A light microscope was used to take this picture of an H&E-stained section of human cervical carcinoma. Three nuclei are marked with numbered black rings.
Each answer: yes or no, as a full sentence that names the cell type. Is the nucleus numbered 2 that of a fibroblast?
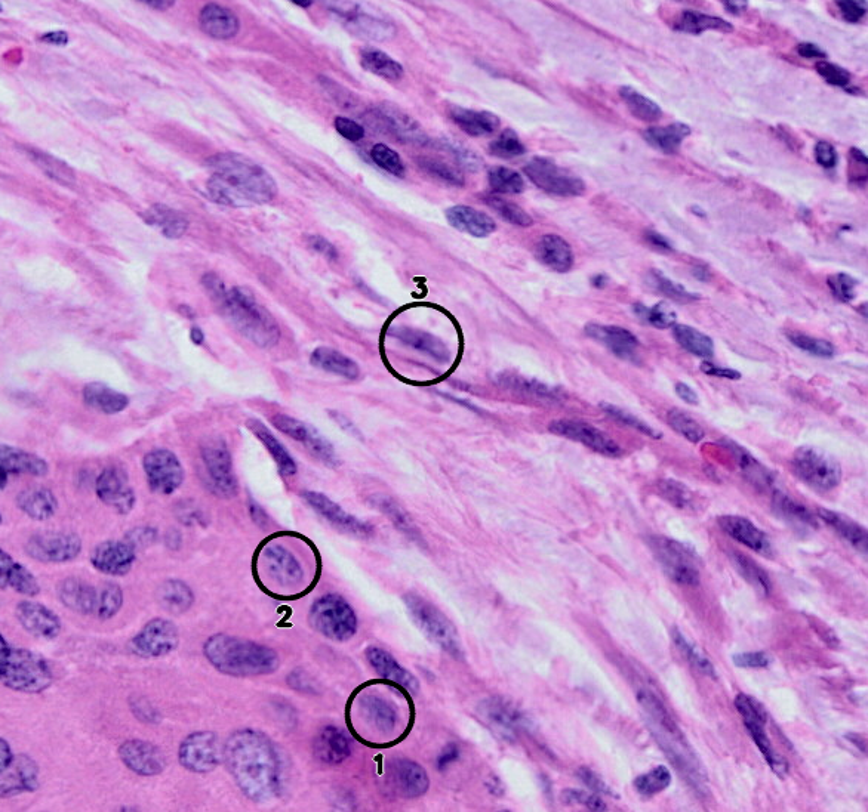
No, the cell denoted 2 is a squamous carcinoma cell rather than a fibroblast.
